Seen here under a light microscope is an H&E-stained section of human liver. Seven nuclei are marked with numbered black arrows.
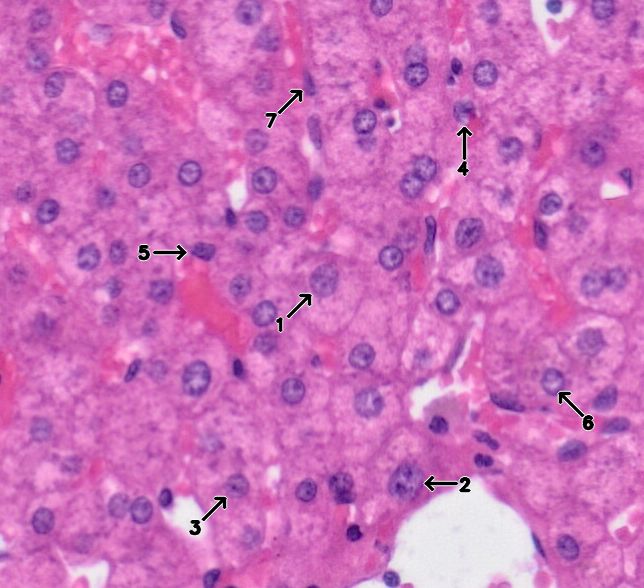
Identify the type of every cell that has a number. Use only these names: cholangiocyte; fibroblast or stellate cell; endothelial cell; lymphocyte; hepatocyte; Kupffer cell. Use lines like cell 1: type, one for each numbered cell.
cell 1: hepatocyte
cell 2: hepatocyte
cell 3: hepatocyte
cell 4: endothelial cell
cell 5: fibroblast or stellate cell
cell 6: hepatocyte
cell 7: fibroblast or stellate cell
